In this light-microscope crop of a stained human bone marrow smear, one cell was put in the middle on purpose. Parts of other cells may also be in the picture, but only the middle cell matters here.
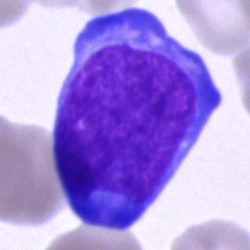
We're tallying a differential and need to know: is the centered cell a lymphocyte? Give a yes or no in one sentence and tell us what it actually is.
No, the central cell is identified not as a lymphocyte but as a blast.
